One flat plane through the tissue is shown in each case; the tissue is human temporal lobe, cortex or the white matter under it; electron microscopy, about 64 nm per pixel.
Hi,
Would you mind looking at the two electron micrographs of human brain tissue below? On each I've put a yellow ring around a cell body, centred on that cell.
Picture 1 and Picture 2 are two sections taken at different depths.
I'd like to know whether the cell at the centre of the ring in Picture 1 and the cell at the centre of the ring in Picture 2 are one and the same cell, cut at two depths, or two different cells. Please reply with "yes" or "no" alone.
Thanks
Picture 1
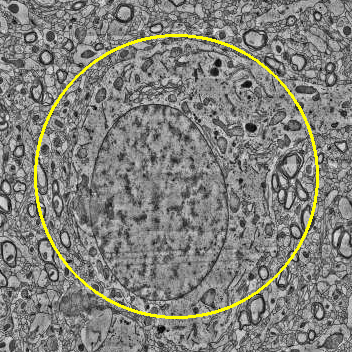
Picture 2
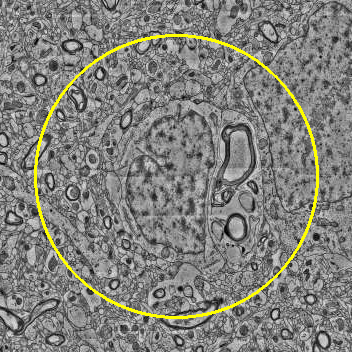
no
